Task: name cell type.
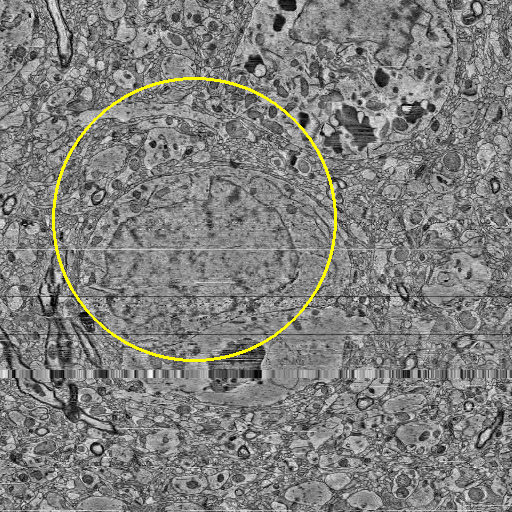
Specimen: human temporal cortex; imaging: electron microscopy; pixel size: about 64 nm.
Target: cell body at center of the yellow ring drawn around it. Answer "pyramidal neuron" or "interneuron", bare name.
interneuron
